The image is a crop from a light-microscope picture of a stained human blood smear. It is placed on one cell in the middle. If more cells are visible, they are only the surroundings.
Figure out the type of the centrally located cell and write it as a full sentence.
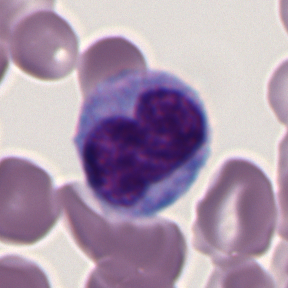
The crop centres on a single cell, and that cell is a monocyte.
